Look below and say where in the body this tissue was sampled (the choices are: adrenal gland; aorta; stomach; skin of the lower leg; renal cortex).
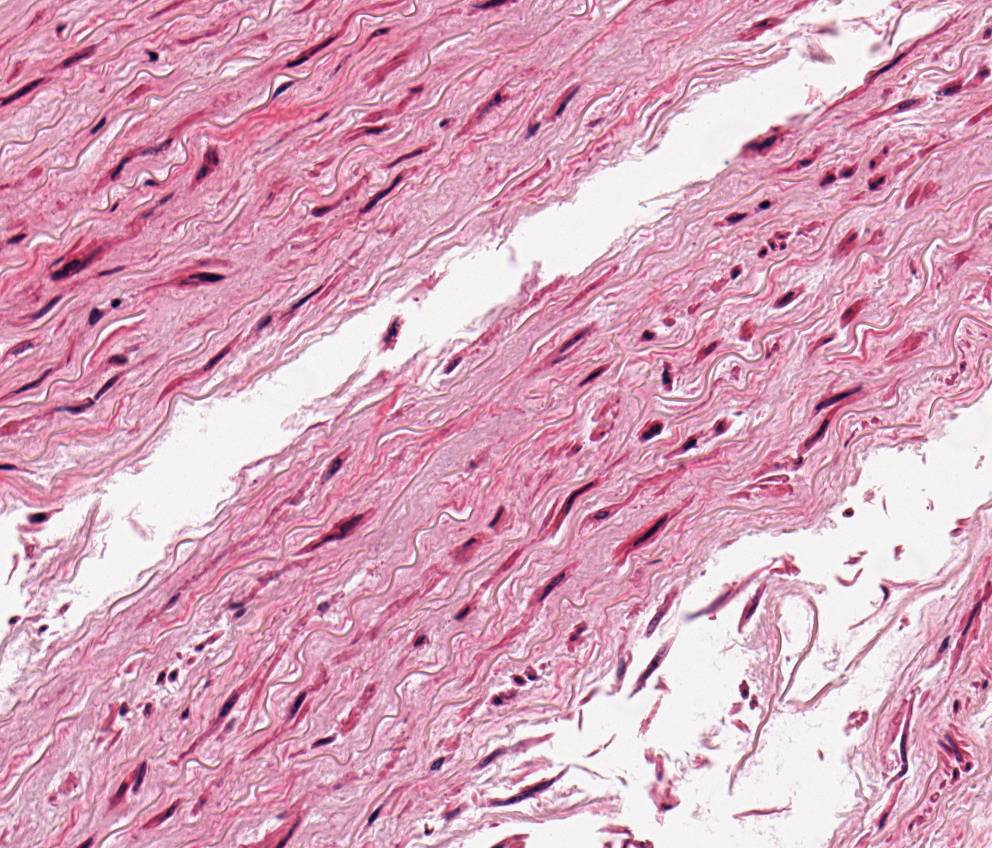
aorta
